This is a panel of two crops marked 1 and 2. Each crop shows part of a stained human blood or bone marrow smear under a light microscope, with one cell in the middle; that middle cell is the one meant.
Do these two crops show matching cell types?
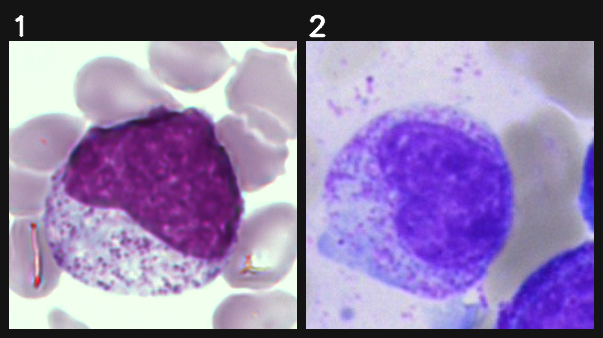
yes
